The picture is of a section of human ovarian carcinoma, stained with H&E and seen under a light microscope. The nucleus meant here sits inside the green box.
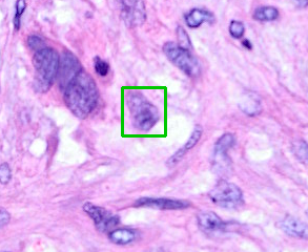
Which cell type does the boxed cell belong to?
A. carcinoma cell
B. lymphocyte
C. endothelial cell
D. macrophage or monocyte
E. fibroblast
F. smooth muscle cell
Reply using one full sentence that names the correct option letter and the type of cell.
Given that the boxed cell is a fibroblast, option E is the correct one.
